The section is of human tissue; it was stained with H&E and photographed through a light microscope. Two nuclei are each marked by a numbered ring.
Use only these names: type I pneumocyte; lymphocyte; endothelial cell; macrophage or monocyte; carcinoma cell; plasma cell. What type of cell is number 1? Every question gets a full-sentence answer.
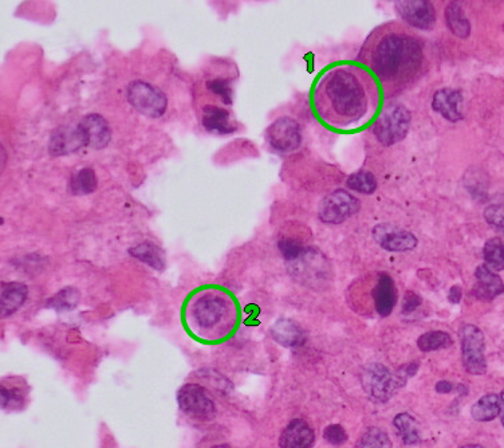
It is as a carcinoma cell that the cell numbered 1 is identified.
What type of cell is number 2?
The cell indicated by marker 2 is a macrophage or monocyte in this section.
